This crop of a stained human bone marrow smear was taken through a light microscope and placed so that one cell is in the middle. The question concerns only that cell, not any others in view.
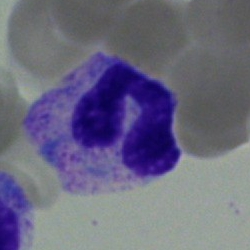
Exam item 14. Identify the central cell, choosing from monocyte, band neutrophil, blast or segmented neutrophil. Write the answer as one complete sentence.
The cell the crop is centered on is a segmented neutrophil.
